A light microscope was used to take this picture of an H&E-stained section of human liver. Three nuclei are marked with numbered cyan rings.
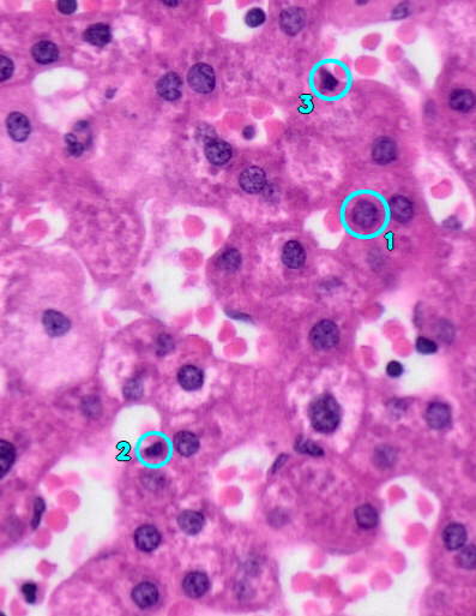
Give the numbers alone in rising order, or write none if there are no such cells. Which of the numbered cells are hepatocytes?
1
